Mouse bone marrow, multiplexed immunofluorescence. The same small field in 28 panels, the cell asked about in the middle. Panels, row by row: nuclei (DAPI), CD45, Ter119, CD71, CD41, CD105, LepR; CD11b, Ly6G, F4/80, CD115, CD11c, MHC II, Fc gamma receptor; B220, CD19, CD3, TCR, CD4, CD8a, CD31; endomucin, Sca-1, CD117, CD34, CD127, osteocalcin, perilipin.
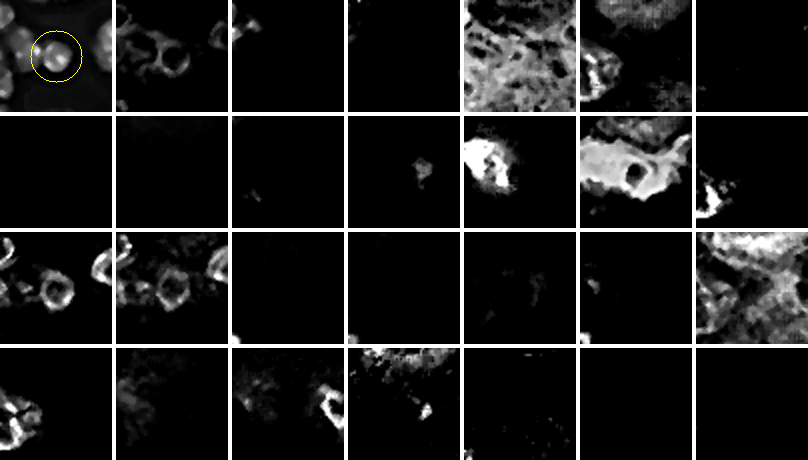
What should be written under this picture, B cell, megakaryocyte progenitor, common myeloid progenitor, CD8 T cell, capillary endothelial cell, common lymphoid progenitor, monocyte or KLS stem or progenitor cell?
B cell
